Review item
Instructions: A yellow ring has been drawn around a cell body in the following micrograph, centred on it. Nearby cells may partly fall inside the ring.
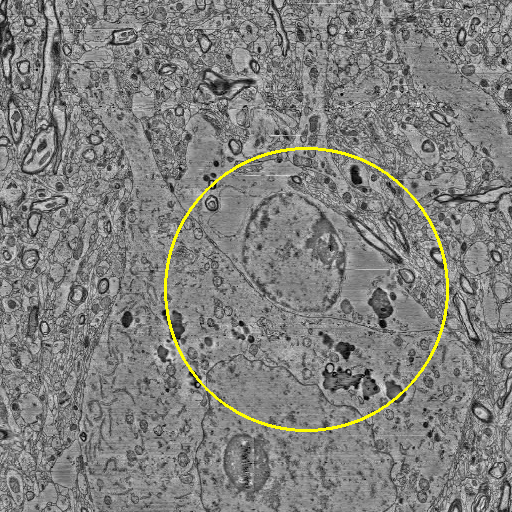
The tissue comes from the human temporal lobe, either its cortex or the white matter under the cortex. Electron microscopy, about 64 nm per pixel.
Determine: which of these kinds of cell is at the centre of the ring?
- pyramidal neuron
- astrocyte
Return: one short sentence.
The cell body in the middle of the ring is that of an astrocyte.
